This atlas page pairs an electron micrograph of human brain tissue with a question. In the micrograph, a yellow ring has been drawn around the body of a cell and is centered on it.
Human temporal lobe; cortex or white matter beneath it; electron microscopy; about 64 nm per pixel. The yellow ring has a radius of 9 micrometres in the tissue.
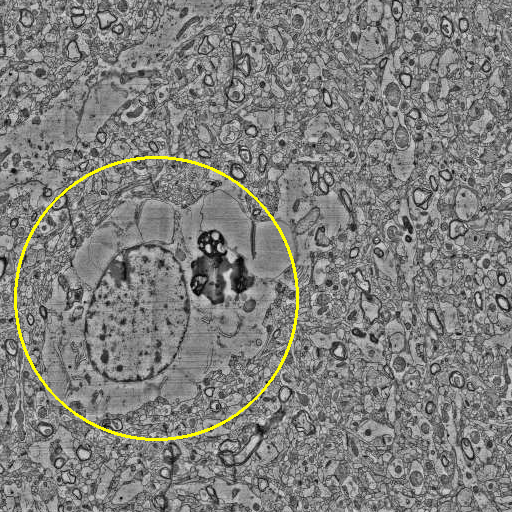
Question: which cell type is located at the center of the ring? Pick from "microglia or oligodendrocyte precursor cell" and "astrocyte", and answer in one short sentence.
Located at the center of the ring is an astrocyte.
